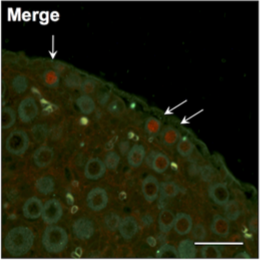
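Beneath the curved edge of the section lie many round oocytes, most ringed by green cytoplasm around a darker central nucleus, packed among smaller somatic cells. A few small oocytes just under the surface are filled with red, whereas the larger oocytes deeper in are mainly green.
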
